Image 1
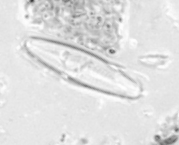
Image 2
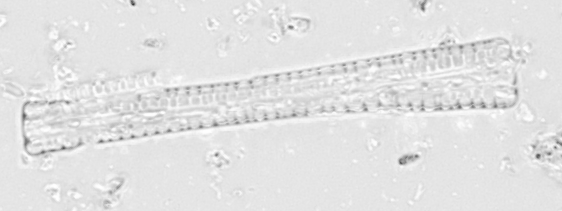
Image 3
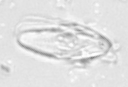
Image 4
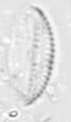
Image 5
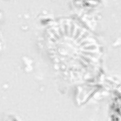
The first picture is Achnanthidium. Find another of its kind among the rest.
Picture 3.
